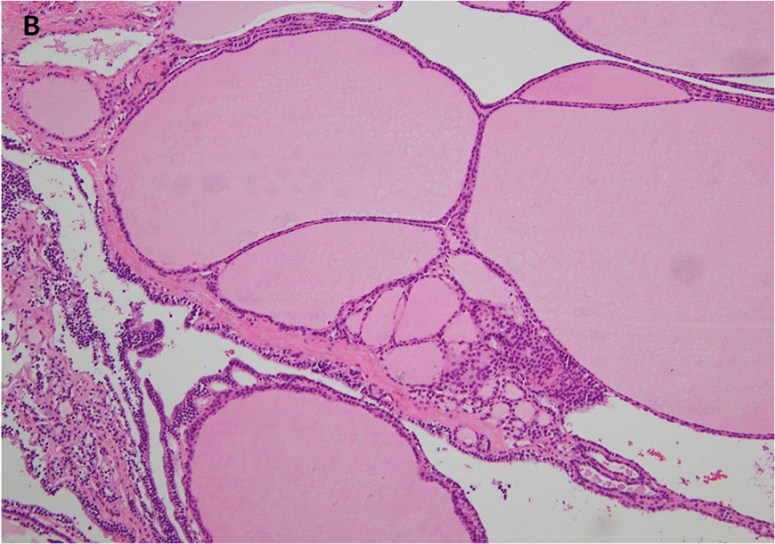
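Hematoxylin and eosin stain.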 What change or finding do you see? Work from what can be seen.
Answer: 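The lining cells are stretched around large colloid-filled lumens. The answer: flattened hyperplastic epithelium.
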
